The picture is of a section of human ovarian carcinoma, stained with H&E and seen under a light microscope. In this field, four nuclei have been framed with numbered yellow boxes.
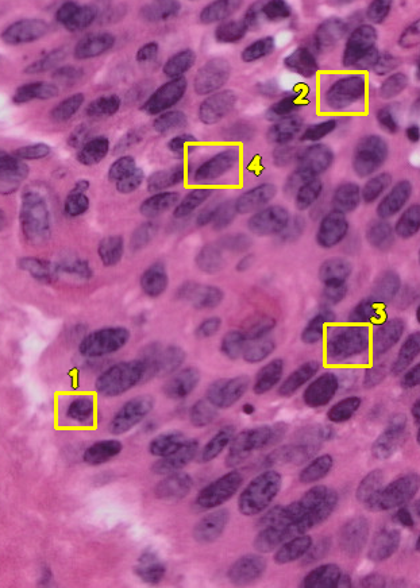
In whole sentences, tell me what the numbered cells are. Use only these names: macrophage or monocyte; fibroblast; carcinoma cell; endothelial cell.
Cell 1 is a macrophage or monocyte, cell 2 is a carcinoma cell, cell 3 is a carcinoma cell and cell 4 is a carcinoma cell.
